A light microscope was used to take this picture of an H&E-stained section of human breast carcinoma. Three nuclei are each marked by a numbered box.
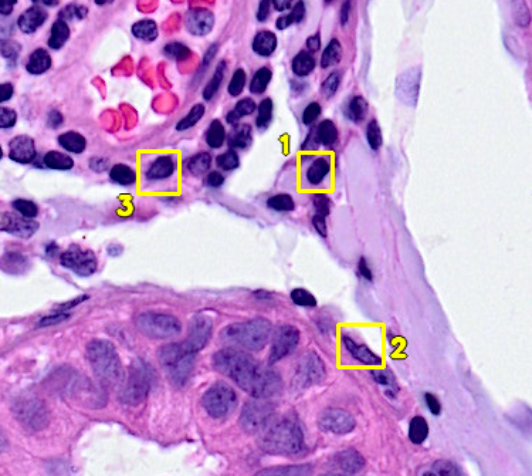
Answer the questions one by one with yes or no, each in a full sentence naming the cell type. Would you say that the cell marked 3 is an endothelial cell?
No, the cell tagged 3 is a lymphocyte, not an endothelial cell.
